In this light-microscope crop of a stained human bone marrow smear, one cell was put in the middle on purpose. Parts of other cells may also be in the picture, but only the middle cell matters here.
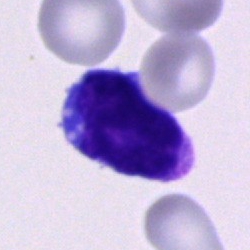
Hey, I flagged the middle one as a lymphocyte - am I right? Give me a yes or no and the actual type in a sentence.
No, a blast, not a lymphocyte, is what sits in the centre of the crop.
